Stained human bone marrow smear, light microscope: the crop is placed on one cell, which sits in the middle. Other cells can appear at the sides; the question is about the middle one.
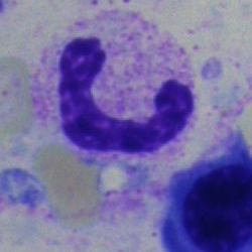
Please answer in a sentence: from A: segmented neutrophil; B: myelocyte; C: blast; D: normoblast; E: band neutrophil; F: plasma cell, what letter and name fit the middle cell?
In the middle of the crop is a segmented neutrophil; option A is therefore correct.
